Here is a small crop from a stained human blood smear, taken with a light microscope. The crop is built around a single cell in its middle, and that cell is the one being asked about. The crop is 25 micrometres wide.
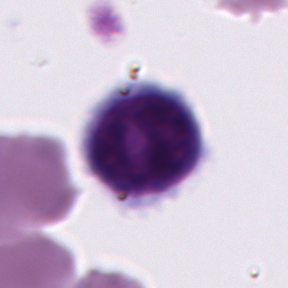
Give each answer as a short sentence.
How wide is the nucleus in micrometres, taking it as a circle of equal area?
About 9 micrometres: that is the diameter of the nucleus.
